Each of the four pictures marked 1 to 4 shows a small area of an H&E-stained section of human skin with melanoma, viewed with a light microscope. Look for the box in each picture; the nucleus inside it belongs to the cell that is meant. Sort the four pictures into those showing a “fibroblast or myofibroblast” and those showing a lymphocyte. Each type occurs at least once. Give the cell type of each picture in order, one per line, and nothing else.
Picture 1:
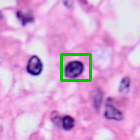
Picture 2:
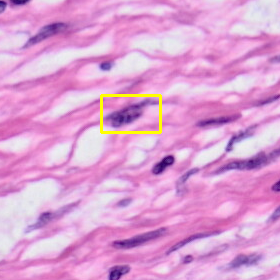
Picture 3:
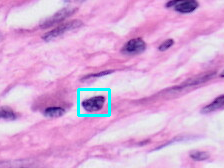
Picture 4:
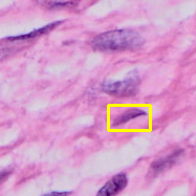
lymphocyte
fibroblast or myofibroblast
lymphocyte
fibroblast or myofibroblast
